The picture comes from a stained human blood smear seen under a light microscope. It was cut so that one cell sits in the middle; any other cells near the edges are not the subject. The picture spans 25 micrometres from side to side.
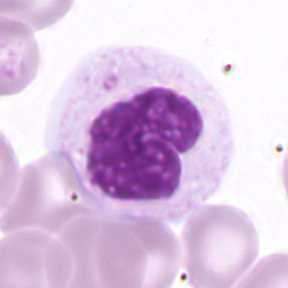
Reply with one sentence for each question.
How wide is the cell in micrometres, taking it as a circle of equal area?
About 15 micrometres: that is the cell's diameter.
